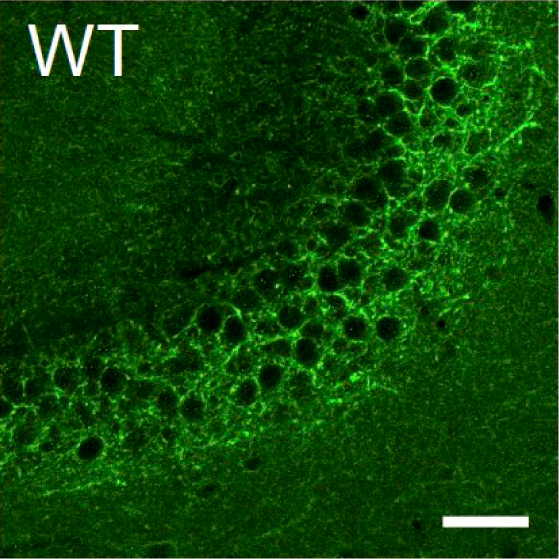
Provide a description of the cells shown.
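This is the pyramidal cell layer of the hippocampus, seen as a diagonal band of tightly packed round cell bodies that stay dark. Above and below the band the tissue shows only a faint diffuse green.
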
